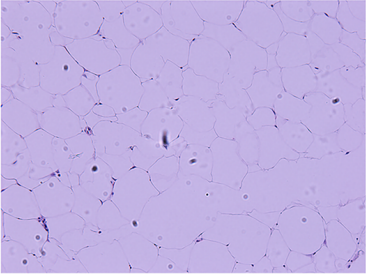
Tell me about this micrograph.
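A field of white fat made of large polygonal cells packed edge to edge, each one almost entirely clear because its lipid has been washed out during processing, leaving an empty space. Only a very thin pink-purple rim outlines each cell, and the rims of neighbours meet as fine septa. Small dark flattened nuclei sit here and there within these rims, pushed to the edge of their cells. There is little stroma between cells and few other cell types. The cells vary somewhat in size, but most are large. These are unilocular adipocytes of white adipose tissue.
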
